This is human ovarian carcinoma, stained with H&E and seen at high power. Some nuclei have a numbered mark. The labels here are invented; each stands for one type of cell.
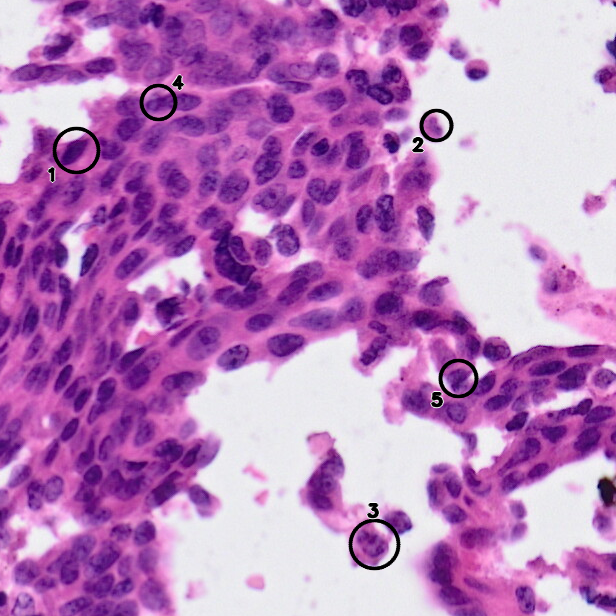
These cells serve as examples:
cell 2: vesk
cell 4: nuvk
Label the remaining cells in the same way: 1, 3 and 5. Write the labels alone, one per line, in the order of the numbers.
nuvk
vesk
nuvk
